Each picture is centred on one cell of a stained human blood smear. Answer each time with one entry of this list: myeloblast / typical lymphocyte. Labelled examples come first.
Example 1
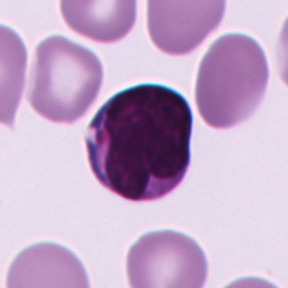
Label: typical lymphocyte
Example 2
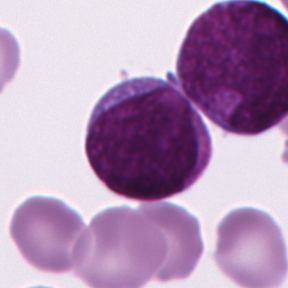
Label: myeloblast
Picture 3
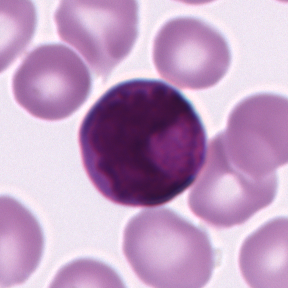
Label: myeloblast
